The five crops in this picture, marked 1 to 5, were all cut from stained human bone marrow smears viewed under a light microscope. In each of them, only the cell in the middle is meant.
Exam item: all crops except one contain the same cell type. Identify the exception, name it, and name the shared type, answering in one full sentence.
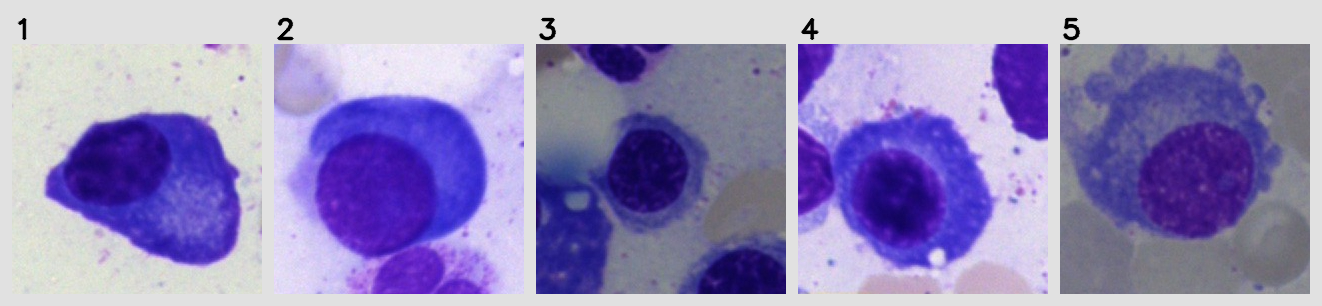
Crop 3 is different, showing a normoblast, whereas all the others show plasma cells.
